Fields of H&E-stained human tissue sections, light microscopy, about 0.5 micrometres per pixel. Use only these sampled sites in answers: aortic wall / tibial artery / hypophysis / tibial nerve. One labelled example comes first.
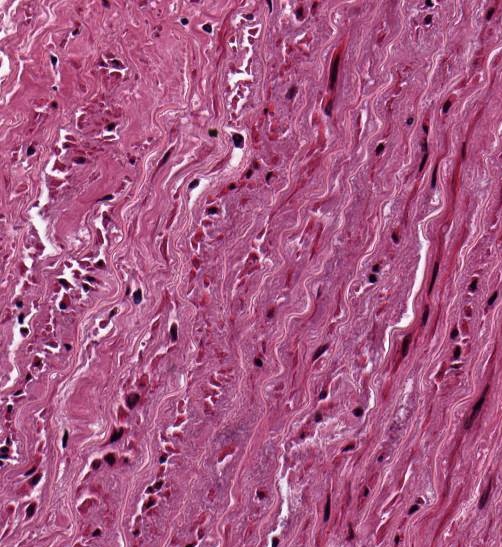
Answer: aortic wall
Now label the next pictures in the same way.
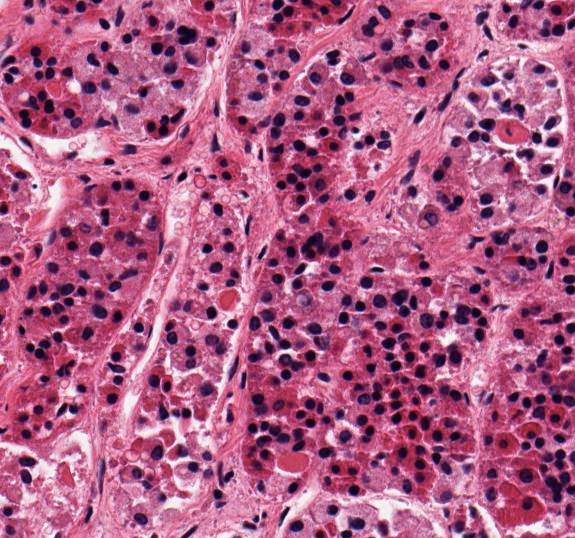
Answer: hypophysis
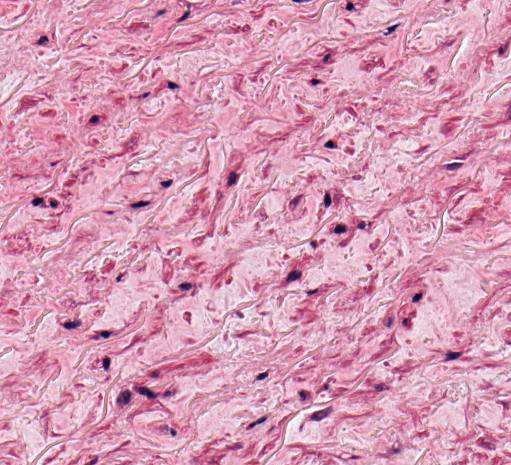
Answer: aortic wall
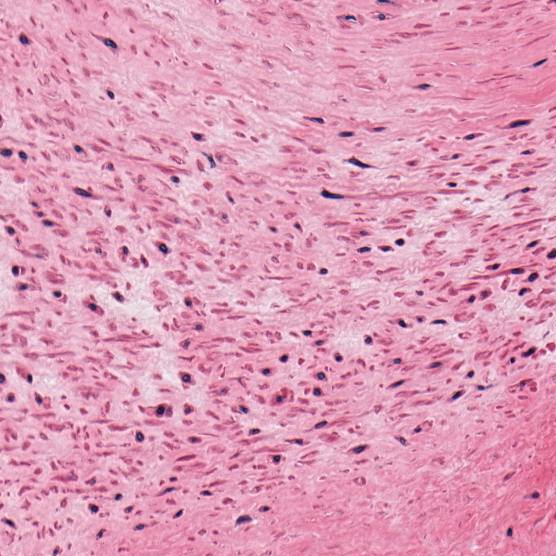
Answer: tibial artery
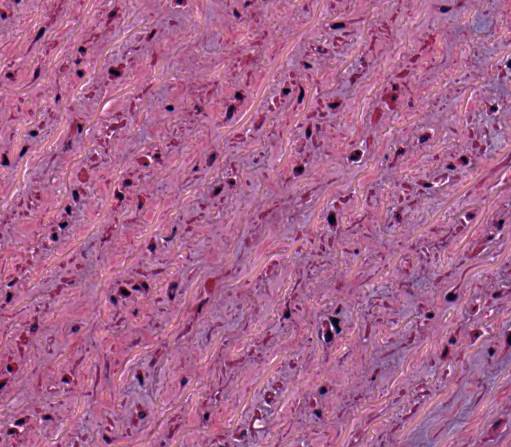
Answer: aortic wall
